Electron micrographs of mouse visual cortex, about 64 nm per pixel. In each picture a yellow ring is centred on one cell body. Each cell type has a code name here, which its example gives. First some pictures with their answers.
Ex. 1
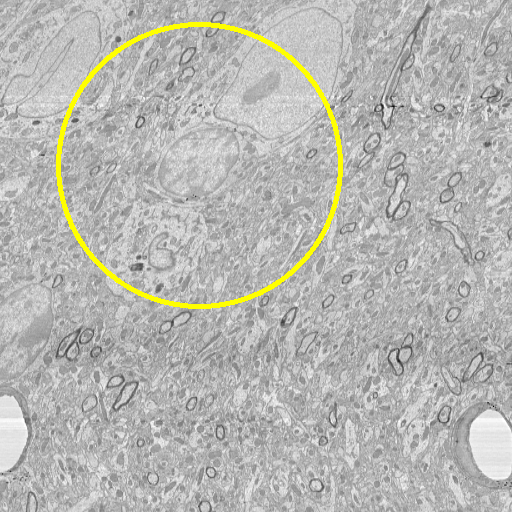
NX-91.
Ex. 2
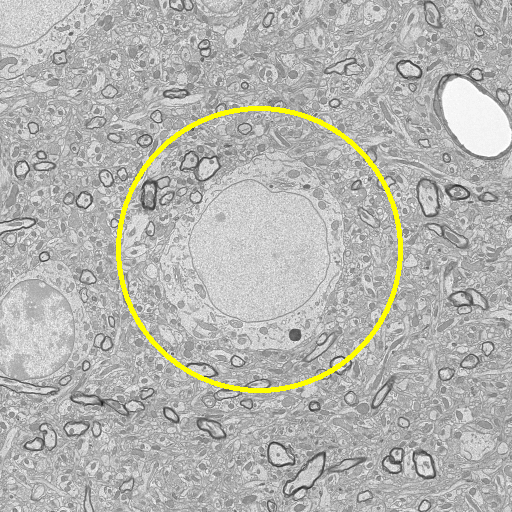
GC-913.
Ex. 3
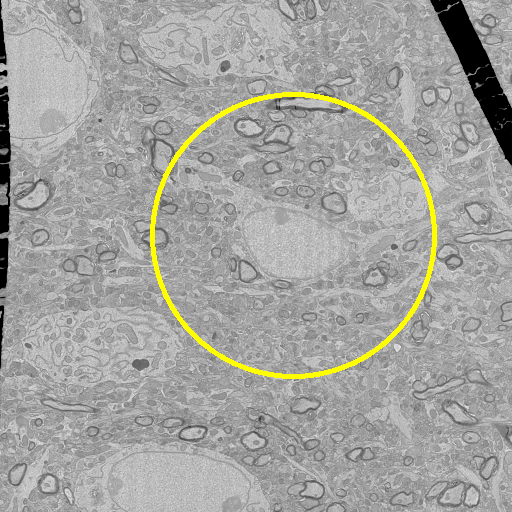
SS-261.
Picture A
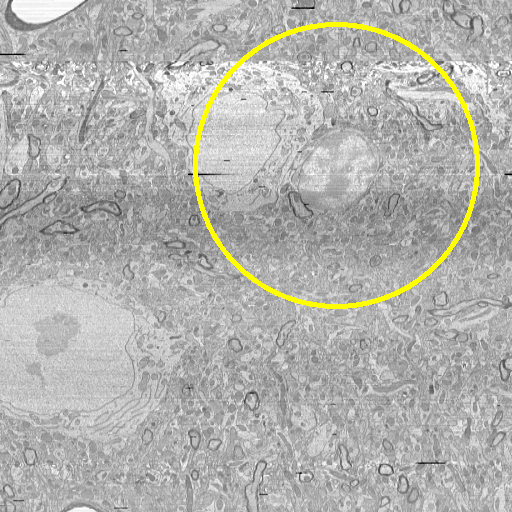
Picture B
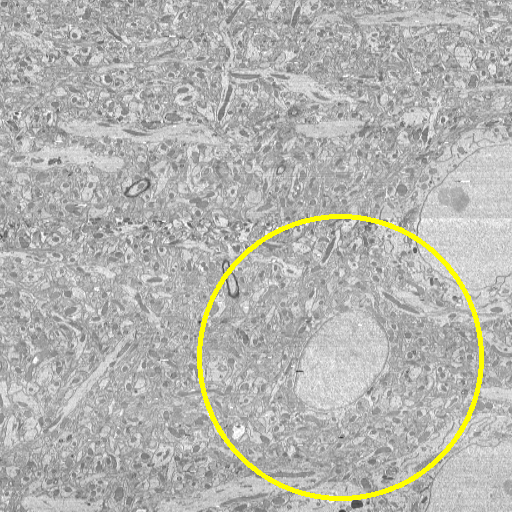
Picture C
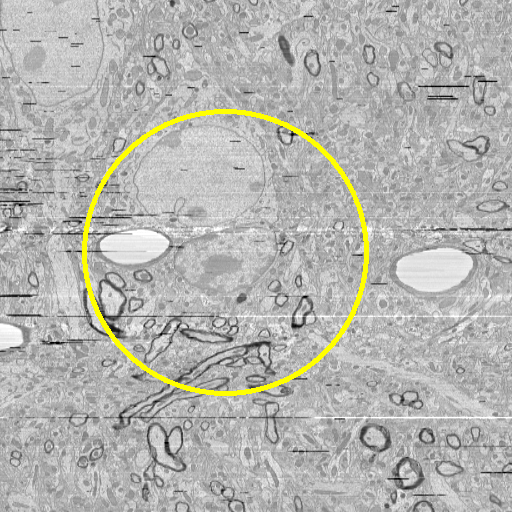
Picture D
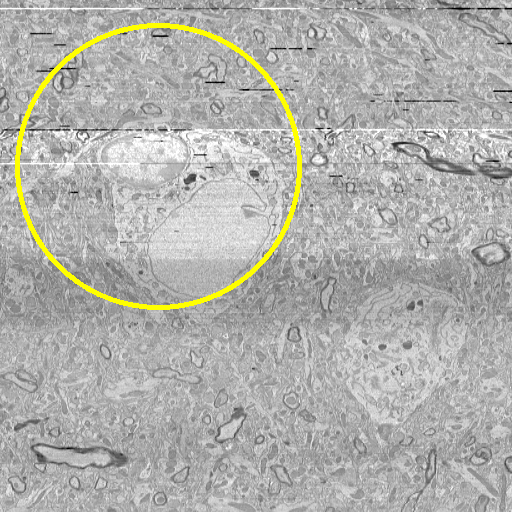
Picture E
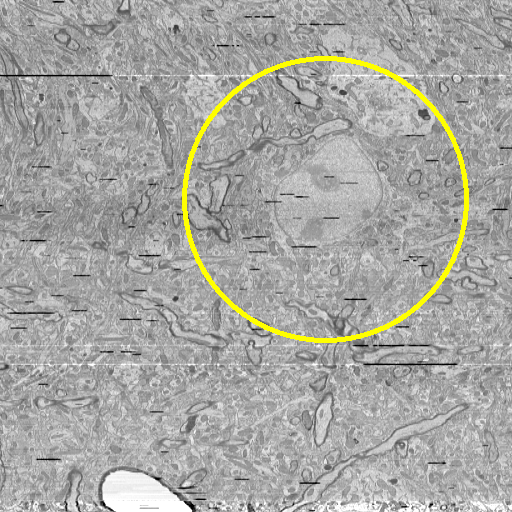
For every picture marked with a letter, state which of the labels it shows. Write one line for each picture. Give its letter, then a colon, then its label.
A: NX-91.
B: SS-261.
C: NX-91.
D: NX-91.
E: SS-261.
